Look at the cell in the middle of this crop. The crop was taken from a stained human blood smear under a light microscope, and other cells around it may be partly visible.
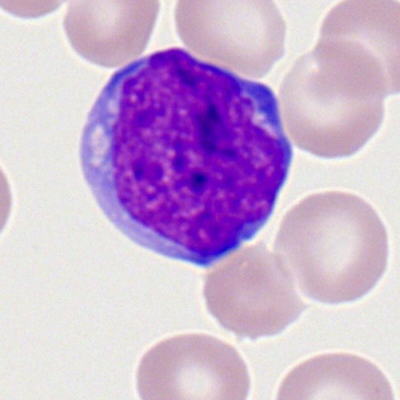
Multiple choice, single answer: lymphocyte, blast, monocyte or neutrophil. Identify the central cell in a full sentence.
The cell in the middle of the field of view is a blast.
